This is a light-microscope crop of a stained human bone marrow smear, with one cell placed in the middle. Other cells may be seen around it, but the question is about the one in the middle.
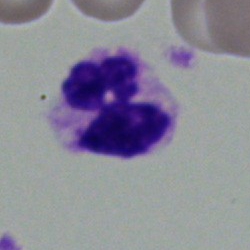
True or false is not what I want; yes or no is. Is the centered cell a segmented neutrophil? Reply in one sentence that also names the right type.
Yes, as for the central cell, it is a segmented neutrophil.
